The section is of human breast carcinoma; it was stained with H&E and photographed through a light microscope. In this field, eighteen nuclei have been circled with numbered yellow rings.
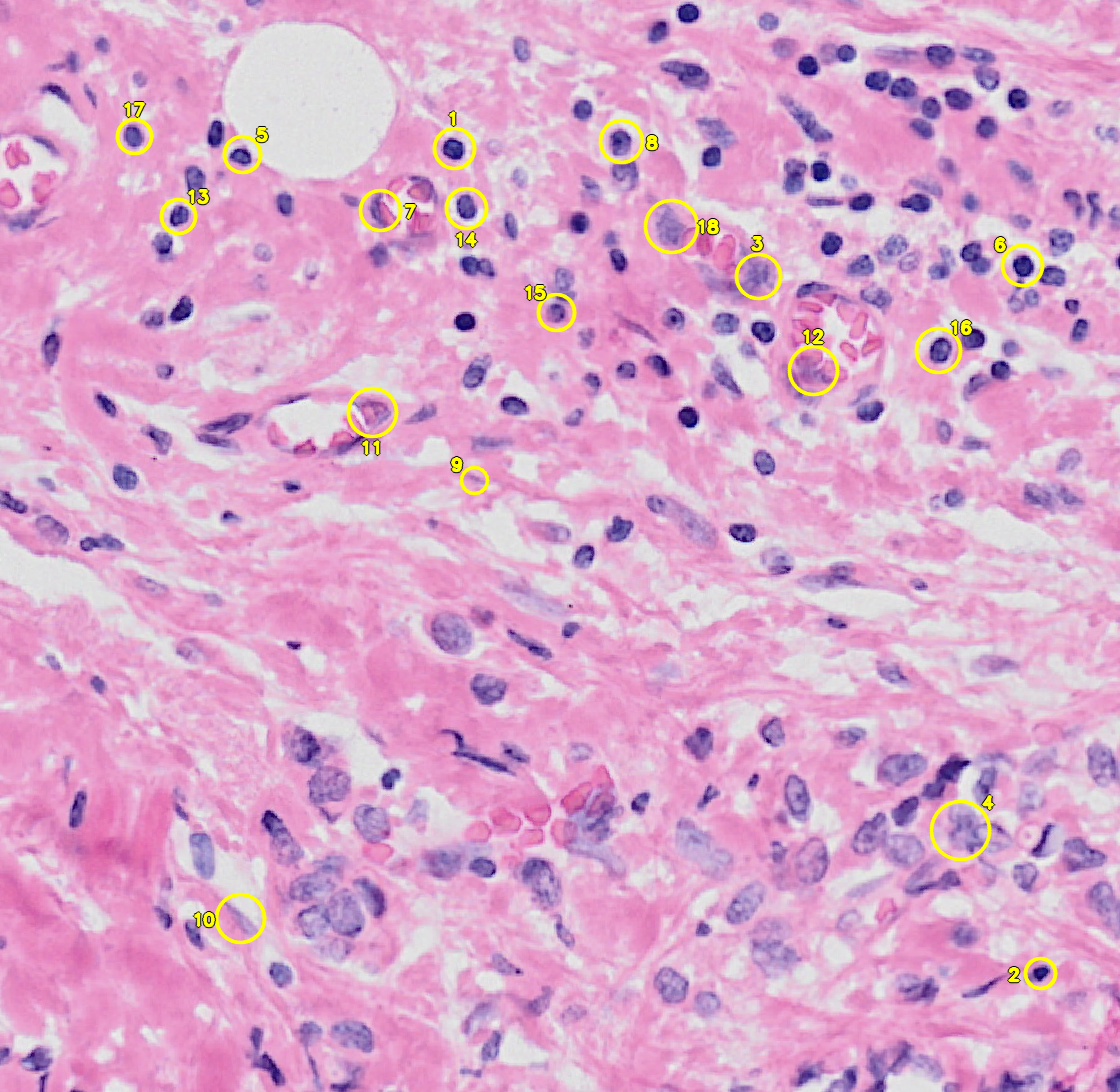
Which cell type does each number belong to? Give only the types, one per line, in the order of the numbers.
lymphocyte
lymphocyte
endothelial cell
carcinoma cell
lymphocyte
lymphocyte
endothelial cell
lymphocyte
fibroblast
fibroblast
endothelial cell
endothelial cell
lymphocyte
lymphocyte
lymphocyte
lymphocyte
lymphocyte
endothelial cell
